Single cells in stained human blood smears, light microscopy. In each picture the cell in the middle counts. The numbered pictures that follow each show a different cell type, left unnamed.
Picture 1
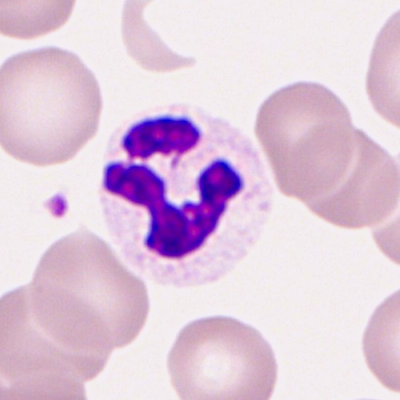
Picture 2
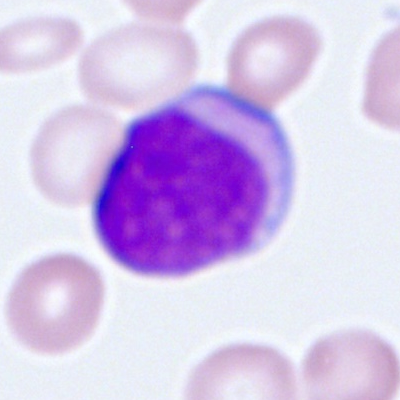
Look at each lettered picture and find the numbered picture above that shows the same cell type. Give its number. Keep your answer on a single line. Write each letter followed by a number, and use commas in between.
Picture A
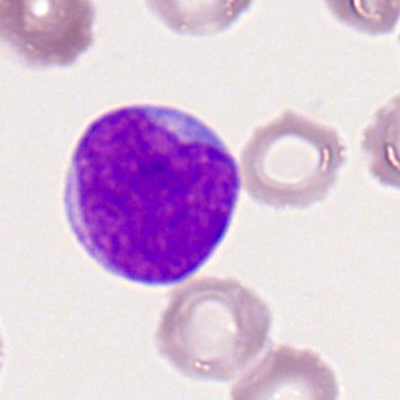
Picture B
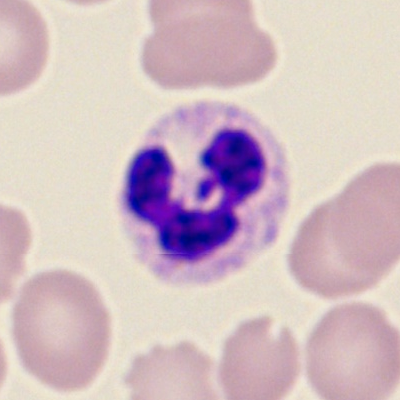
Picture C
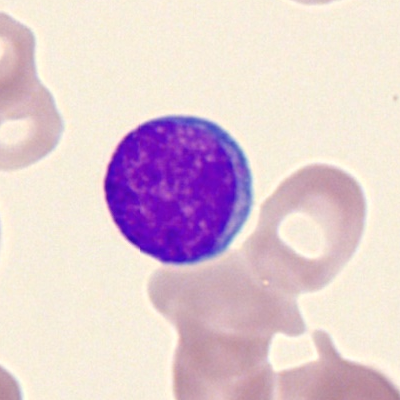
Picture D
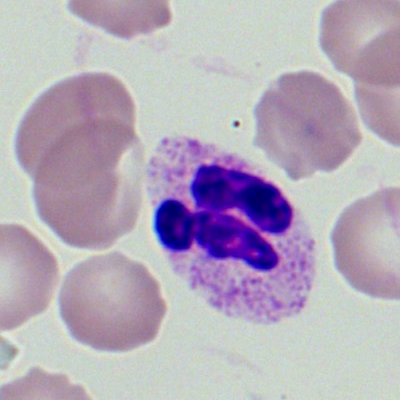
A 2, B 1, C 2, D 1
